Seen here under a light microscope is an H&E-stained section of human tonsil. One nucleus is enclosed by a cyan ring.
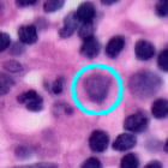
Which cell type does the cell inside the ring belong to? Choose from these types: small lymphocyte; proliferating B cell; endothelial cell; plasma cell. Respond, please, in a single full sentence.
By its classification, the cell inside the ring is an endothelial cell.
